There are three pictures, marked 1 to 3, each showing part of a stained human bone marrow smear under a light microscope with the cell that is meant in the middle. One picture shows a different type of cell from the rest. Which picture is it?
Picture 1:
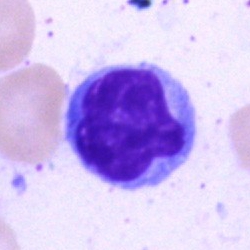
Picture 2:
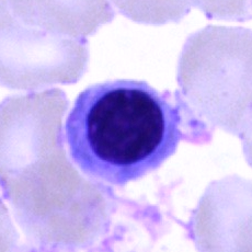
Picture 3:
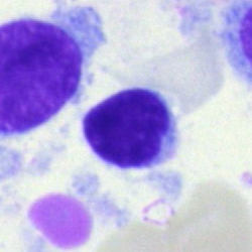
2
